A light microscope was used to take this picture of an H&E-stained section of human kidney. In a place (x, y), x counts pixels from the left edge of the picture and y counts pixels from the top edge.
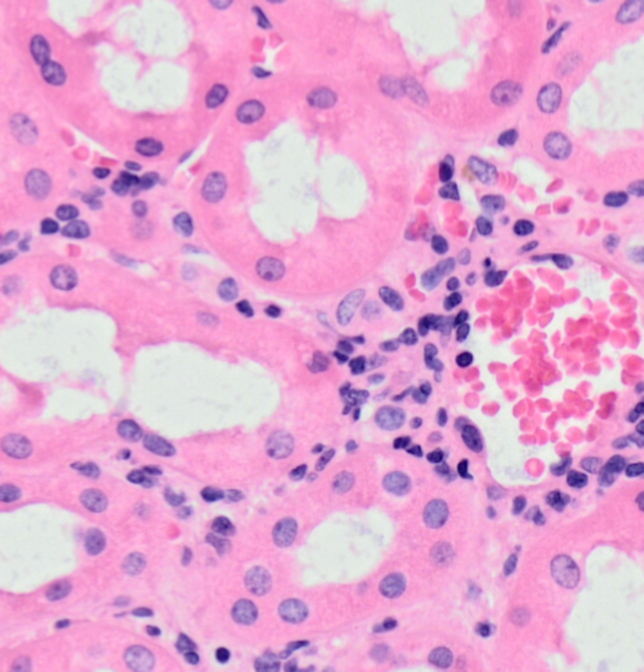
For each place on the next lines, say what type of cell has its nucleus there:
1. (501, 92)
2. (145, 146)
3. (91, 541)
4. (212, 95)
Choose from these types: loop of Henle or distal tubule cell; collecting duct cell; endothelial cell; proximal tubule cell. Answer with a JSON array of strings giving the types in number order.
["proximal tubule cell", "proximal tubule cell", "loop of Henle or distal tubule cell", "proximal tubule cell"]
